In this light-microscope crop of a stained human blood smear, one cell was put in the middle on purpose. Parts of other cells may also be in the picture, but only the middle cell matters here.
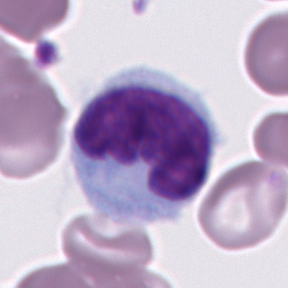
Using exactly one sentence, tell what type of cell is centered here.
In the center of this field lies a monocyte.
